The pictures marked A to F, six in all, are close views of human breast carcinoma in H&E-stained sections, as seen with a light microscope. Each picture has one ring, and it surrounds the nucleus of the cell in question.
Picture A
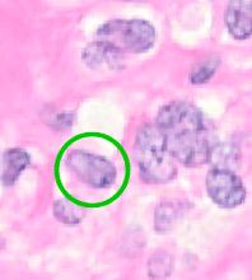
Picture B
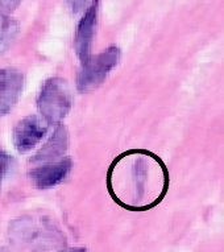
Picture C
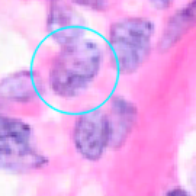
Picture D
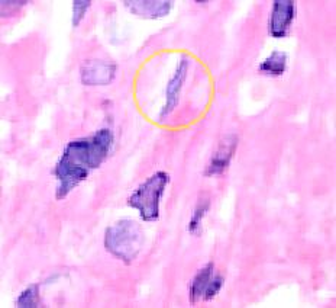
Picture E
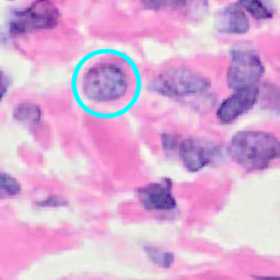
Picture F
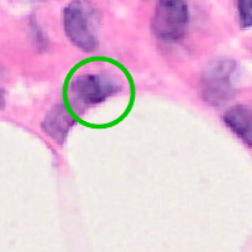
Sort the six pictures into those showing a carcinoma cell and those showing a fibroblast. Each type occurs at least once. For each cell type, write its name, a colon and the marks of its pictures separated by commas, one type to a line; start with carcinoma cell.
carcinoma cell: A, C, E, F
fibroblast: B, D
